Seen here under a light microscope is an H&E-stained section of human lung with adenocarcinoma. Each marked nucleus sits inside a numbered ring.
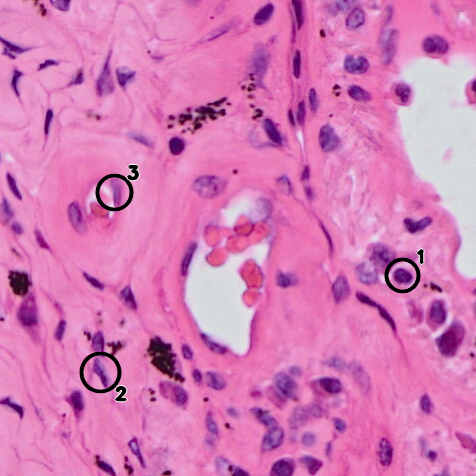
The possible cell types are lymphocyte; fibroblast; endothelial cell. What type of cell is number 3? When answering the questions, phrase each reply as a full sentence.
In the marked set, the cell given number 3 is an endothelial cell.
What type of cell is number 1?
The cell that goes by number 1 is a lymphocyte.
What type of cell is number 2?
Marked with the number 2, this cell is a fibroblast.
